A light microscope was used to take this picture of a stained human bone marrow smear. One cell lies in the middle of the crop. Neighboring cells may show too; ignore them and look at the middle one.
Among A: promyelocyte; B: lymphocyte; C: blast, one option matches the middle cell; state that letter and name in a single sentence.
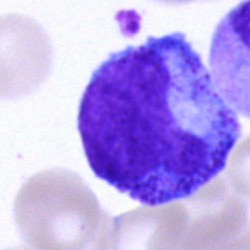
The cell at the heart of the crop is a promyelocyte, so choose option A.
